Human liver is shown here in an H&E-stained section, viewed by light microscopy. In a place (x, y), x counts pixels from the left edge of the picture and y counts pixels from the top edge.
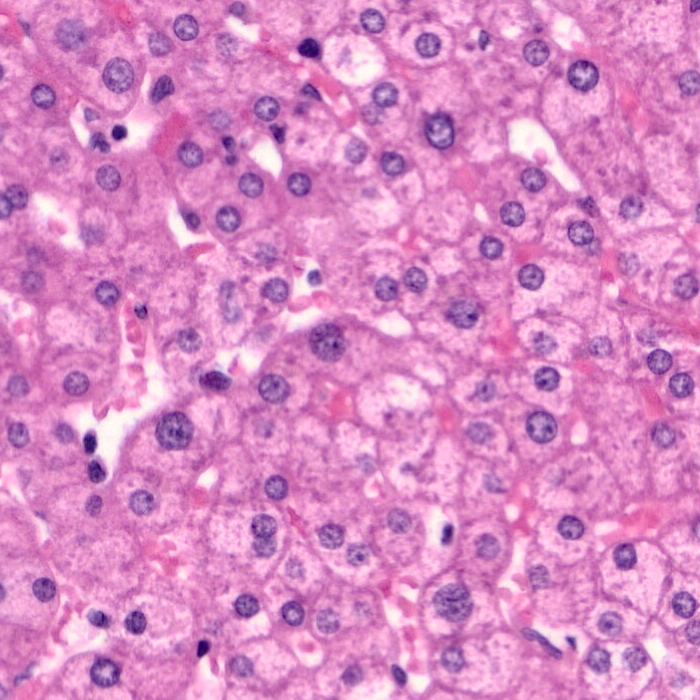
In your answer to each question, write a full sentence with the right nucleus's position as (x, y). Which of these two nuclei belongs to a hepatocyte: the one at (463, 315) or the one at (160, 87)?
The nucleus at (463, 315), rather than the other one, belongs to a hepatocyte.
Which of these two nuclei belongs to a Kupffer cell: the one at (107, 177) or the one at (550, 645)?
The nucleus at (550, 645) is the one of the two that belongs to a Kupffer cell.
